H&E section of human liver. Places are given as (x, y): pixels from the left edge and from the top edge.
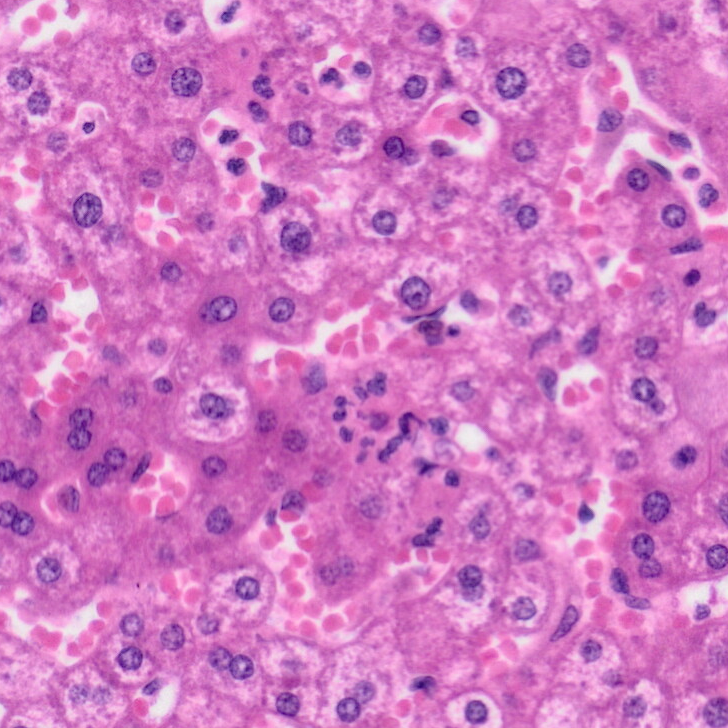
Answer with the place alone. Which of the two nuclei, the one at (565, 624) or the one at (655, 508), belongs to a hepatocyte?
(655, 508)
